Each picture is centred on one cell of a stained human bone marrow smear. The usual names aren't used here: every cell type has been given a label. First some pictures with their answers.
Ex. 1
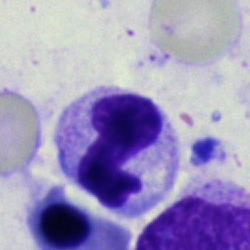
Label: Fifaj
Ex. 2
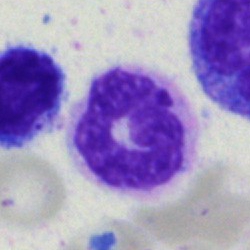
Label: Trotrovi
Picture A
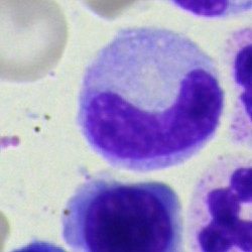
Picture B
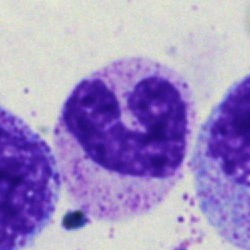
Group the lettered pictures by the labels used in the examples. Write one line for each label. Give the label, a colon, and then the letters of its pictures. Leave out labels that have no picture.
Fifaj: A, B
